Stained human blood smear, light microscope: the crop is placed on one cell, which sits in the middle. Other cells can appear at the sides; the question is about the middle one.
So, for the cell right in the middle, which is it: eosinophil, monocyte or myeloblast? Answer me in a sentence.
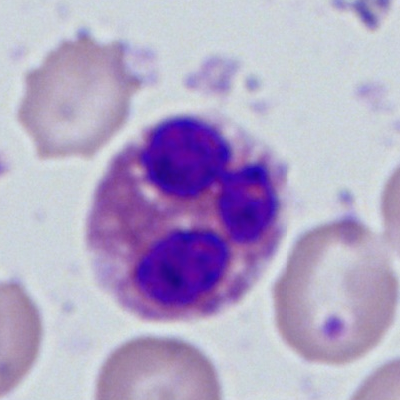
At the crop's centre, the cell is an eosinophil.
